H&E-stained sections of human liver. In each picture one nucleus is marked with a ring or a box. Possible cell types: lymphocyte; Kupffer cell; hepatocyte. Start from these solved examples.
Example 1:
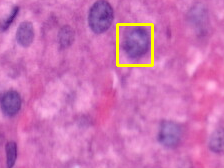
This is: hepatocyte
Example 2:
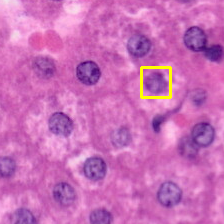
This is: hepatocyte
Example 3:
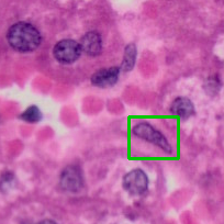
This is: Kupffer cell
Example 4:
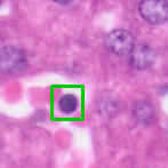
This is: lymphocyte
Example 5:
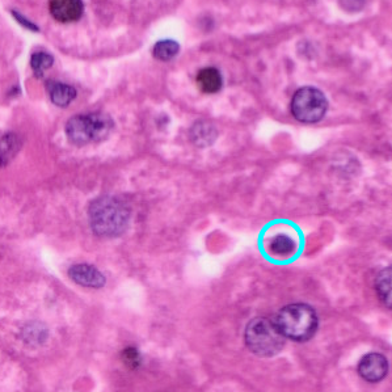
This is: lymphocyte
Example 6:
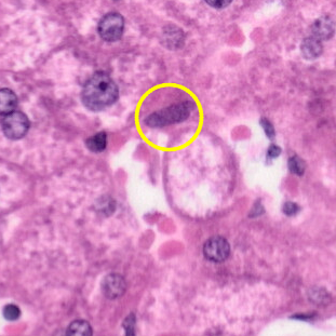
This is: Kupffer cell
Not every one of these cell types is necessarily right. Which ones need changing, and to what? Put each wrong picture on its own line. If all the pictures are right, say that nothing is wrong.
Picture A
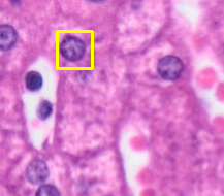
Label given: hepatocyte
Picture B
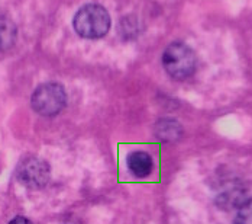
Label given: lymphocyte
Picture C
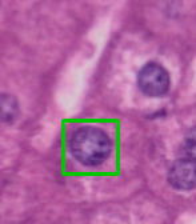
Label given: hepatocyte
All correct.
